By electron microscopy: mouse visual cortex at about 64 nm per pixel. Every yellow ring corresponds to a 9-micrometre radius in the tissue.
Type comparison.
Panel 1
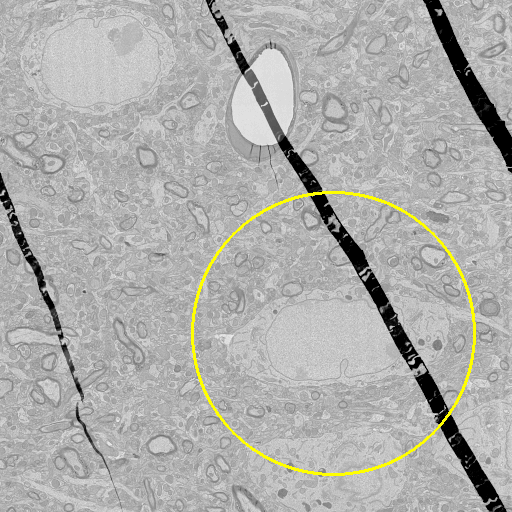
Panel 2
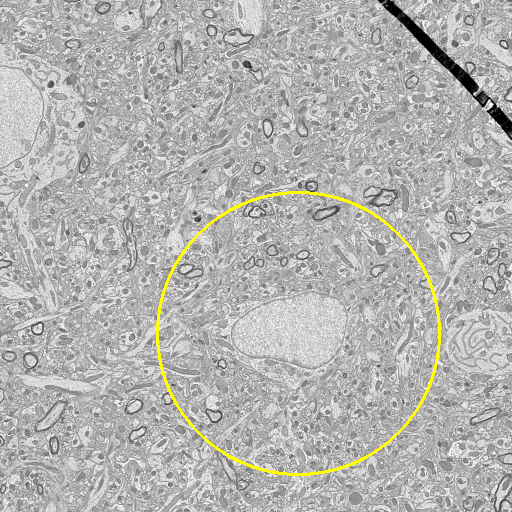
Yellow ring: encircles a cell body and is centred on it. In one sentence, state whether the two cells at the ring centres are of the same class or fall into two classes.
In these panels, the two cells at the ring centres fall into two classes.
